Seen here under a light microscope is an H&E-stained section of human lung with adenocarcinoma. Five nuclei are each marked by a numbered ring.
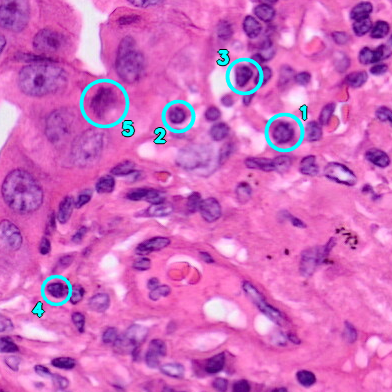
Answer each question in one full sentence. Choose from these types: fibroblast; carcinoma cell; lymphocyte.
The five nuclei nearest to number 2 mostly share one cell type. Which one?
The majority of the five nuclei closest to number 2 belong to fibroblasts.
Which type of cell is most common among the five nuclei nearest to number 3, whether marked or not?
Of the five nuclei nearest to number 3, most belong to lymphocytes.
